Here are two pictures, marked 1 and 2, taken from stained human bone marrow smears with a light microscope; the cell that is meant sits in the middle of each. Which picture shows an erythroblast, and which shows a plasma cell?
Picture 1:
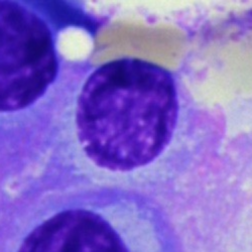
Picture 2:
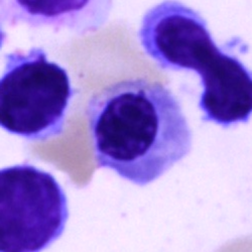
1: plasma cell
2: erythroblast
